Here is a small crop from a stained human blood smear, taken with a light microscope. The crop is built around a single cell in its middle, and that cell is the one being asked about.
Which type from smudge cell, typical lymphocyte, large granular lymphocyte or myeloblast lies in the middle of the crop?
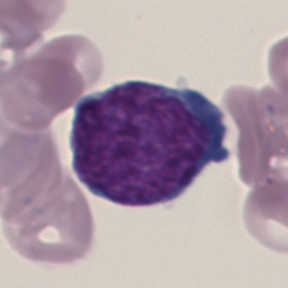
myeloblast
